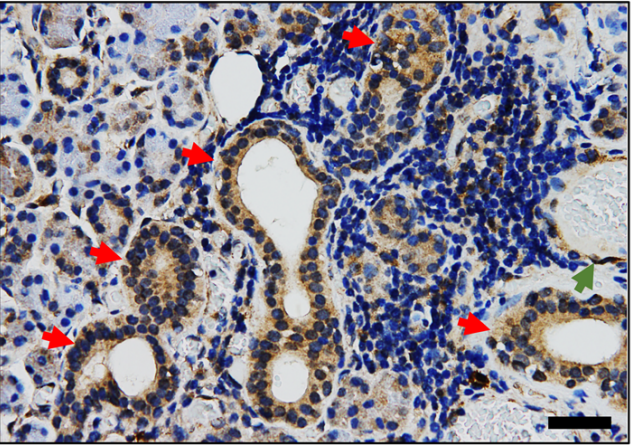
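Here ductal epithelial cells form rings of cuboidal cells around open lumens, with brown-stained cytoplasm and round, dark nuclei. Between the ducts lies a crowded field of small round cells with dark blue nuclei, the accumulated lymphocytes, pressed close around the brown ducts.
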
